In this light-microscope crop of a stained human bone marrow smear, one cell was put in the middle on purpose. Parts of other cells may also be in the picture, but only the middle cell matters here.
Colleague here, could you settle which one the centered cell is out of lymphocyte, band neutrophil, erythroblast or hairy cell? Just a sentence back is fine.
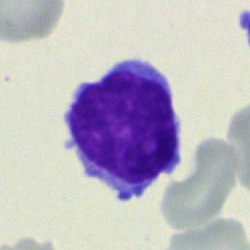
Here the cell in the middle is a lymphocyte.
